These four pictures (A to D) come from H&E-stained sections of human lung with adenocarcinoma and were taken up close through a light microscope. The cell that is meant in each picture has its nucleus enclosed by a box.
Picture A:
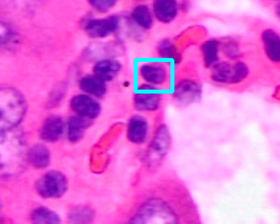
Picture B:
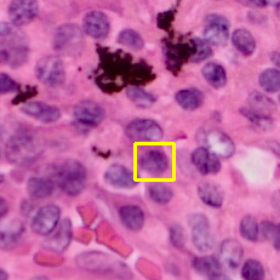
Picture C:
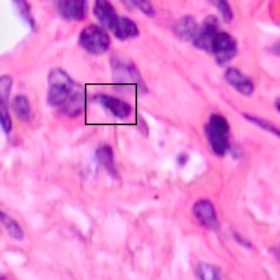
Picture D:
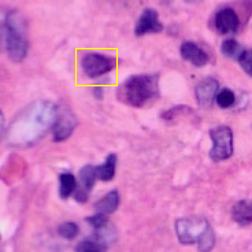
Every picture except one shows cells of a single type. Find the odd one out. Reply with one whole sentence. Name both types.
All pictures except A show plasma cells; picture A shows a lymphocyte.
